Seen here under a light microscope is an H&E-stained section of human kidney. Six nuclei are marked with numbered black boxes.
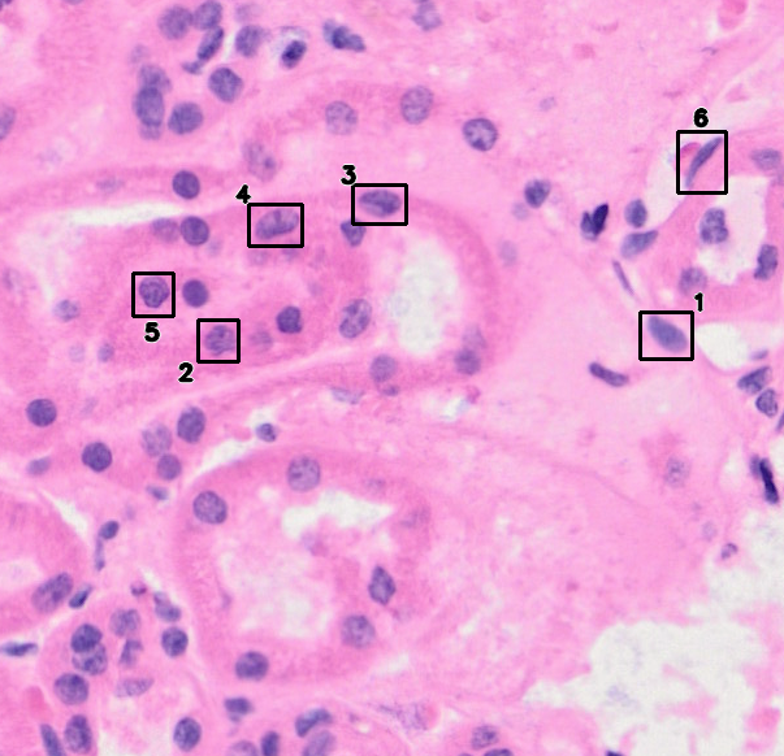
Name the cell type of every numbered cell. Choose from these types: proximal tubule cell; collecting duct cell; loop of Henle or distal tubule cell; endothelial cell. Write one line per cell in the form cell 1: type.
cell 1: endothelial cell
cell 2: proximal tubule cell
cell 3: proximal tubule cell
cell 4: proximal tubule cell
cell 5: proximal tubule cell
cell 6: endothelial cell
